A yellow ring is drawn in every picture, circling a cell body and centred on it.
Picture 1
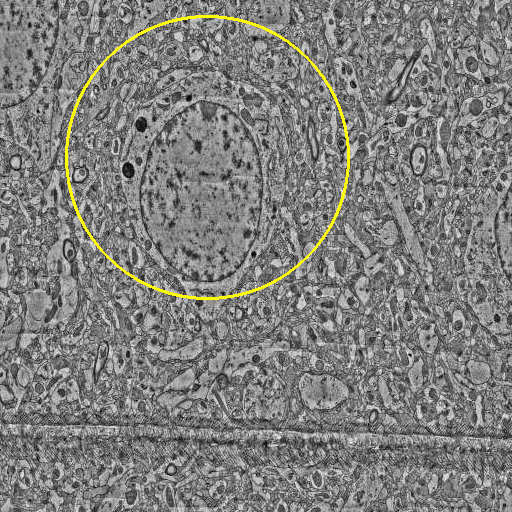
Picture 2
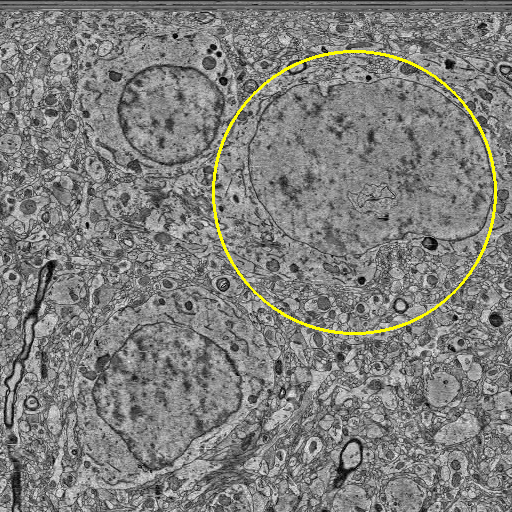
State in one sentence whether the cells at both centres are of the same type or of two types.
The cells at the two ring centres, one per picture, are of the same type.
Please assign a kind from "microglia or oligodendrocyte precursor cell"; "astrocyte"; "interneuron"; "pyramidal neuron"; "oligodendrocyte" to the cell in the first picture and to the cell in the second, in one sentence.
The cell in the first picture is a pyramidal neuron, and so is the one in the second.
